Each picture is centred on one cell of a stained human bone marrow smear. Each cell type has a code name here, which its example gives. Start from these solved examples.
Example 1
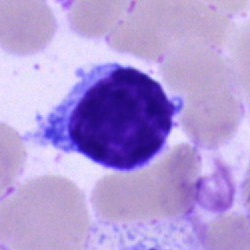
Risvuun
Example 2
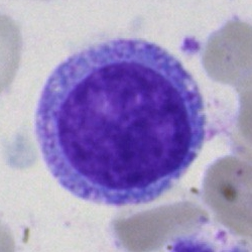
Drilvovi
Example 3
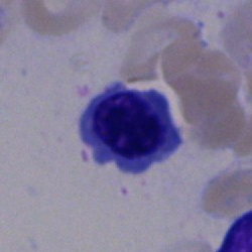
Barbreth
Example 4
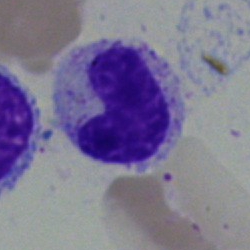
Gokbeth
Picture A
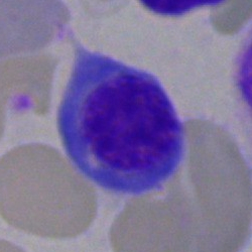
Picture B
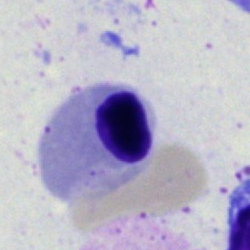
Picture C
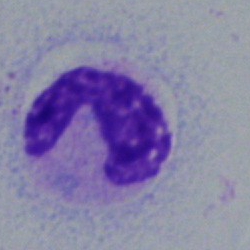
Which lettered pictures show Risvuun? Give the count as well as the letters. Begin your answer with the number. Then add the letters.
0, none of them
